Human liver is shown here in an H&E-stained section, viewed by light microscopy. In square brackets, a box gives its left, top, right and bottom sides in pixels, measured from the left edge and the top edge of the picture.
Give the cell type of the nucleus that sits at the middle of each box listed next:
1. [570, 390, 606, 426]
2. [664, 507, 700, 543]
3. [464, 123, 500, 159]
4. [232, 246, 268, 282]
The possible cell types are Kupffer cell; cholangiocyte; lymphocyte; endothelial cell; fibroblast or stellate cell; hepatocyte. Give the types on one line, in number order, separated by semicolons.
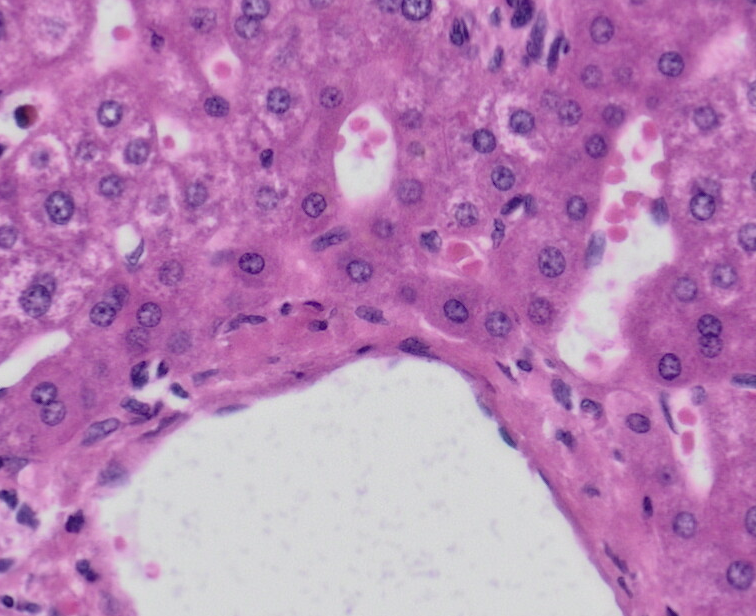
fibroblast or stellate cell; hepatocyte; hepatocyte; hepatocyte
